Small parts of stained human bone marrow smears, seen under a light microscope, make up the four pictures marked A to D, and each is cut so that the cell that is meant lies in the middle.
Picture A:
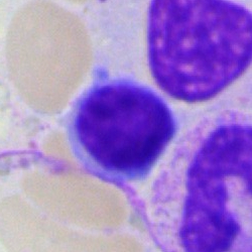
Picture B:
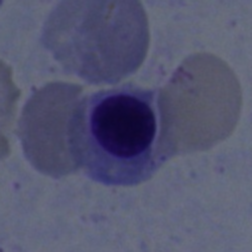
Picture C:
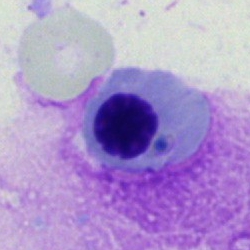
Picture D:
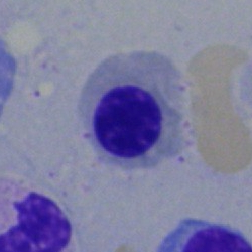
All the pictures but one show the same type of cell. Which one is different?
A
